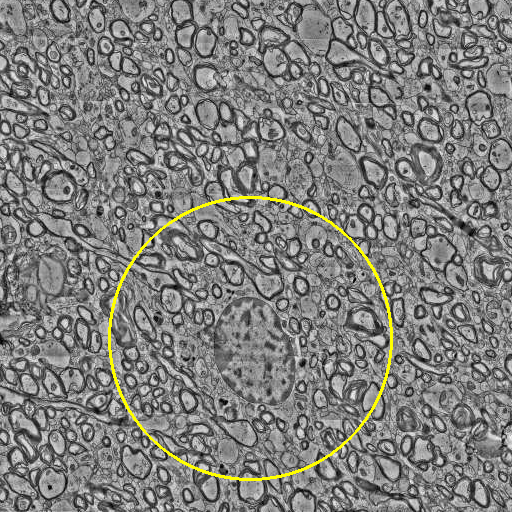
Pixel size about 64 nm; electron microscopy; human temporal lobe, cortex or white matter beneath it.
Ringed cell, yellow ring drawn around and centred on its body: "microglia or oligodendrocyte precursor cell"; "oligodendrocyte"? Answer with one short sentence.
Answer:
This ringed cell is a microglial cell or oligodendrocyte precursor cell.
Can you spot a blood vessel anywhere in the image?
No, there is no blood vessel in the image.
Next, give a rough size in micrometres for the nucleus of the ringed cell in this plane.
The nucleus comes to roughly 7 by 5 micrometres in this plane.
